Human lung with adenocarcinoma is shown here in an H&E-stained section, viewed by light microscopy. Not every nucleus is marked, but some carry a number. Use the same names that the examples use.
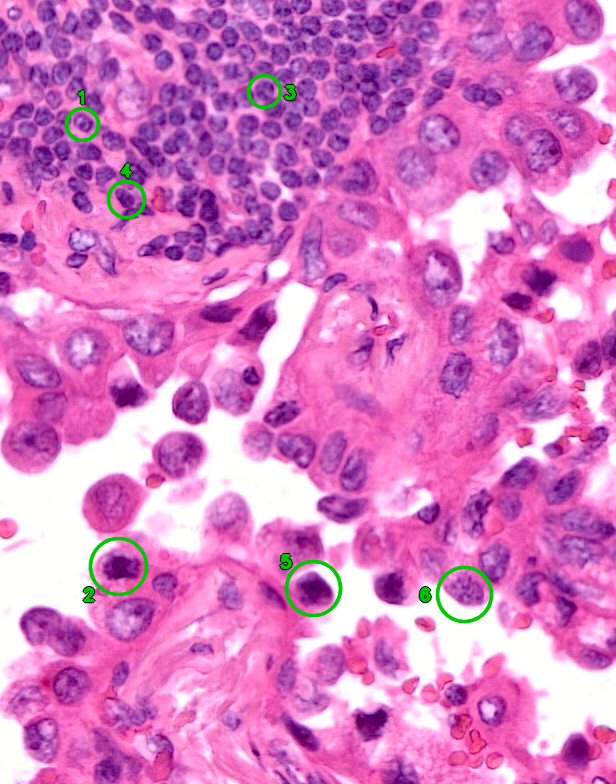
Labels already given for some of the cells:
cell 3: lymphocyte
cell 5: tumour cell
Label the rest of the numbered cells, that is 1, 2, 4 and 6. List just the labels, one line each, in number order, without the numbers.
lymphocyte
tumour cell
lymphocyte
tumour cell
